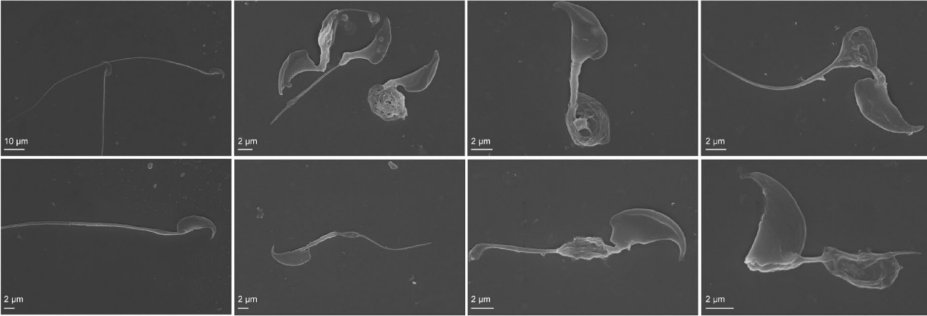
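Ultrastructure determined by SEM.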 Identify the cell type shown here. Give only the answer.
spermatozoa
